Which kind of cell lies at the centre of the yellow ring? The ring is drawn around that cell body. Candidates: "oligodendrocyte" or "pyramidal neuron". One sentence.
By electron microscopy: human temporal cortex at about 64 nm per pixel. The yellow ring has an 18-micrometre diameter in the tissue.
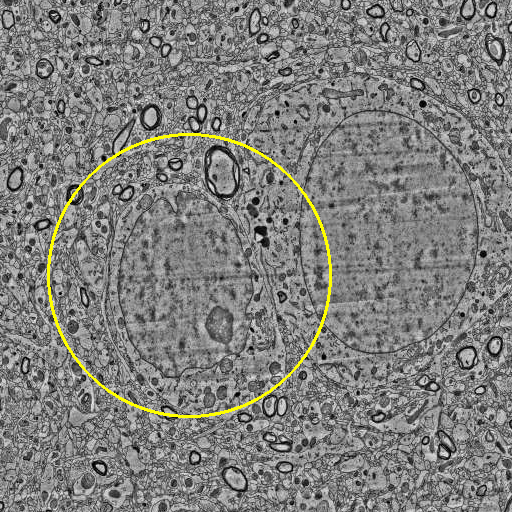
Lying at the centre of the ring is a pyramidal neuron.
